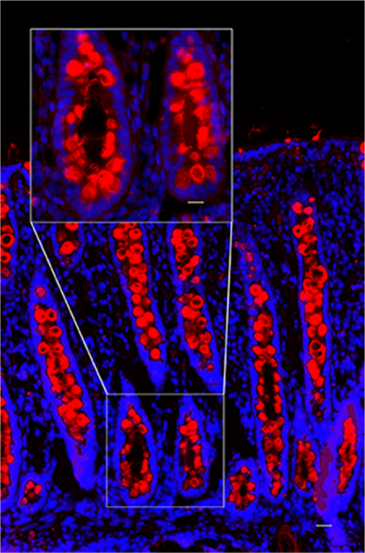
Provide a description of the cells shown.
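This section of colonic mucosa shows straight tubular crypts lined by epithelium that is crowded with goblet cells. The goblet cells appear as rounded red cups, many with a brighter rim, packed one above the other along the length of each crypt. The enlarged view of two crypt bases shows the red cups clustered around the crypt lumen.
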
